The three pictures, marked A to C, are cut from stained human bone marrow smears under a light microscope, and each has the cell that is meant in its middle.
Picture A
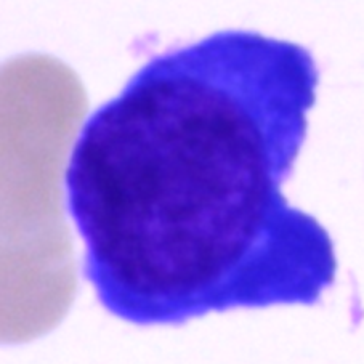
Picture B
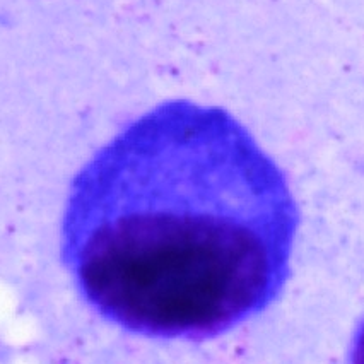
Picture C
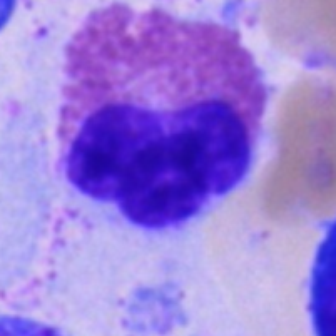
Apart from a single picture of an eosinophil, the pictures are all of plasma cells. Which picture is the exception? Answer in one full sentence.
Picture C is the one that shows the eosinophil.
